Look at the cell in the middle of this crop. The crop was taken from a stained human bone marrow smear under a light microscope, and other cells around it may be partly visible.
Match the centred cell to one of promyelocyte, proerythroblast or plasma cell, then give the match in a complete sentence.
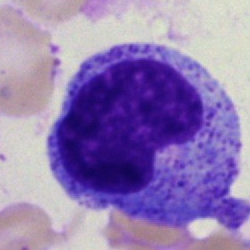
The single cell at the center of the crop is a promyelocyte.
